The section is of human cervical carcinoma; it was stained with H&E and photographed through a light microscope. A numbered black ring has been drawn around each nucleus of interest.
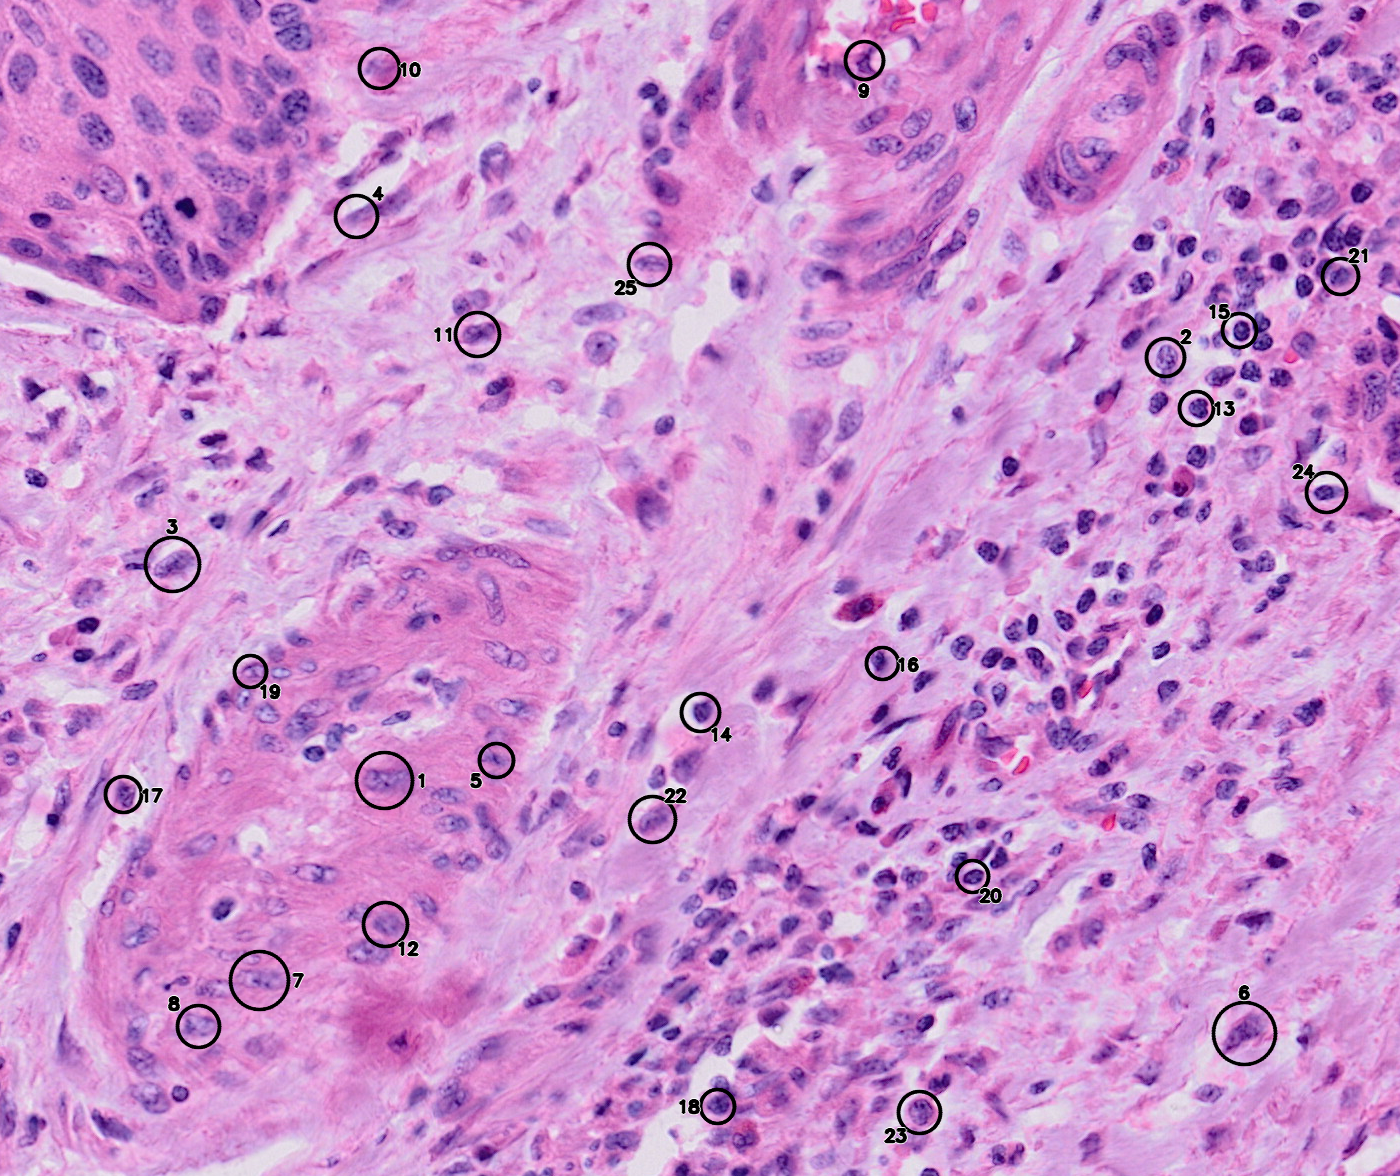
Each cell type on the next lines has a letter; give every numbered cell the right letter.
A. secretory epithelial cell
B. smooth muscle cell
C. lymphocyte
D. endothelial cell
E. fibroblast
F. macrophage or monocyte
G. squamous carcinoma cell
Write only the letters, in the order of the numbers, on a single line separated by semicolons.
B; F; F; E; B; F; B; B; D; E; F; B; C; C; C; C; F; C; B; C; C; F; F; C; F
